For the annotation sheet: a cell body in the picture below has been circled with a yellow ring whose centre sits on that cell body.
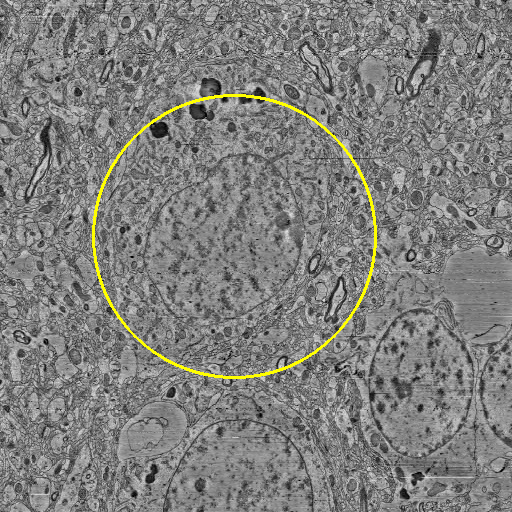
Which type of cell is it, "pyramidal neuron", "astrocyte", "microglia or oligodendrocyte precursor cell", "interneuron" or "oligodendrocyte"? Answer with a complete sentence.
The circled cell is an interneuron.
